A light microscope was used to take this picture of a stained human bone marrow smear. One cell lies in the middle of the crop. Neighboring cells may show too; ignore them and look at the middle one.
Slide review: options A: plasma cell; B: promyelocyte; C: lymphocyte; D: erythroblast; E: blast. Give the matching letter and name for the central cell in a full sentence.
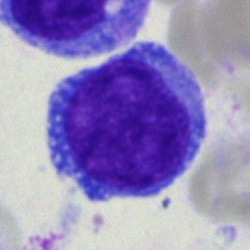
Option E holds, for the cell in the middle is a blast.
